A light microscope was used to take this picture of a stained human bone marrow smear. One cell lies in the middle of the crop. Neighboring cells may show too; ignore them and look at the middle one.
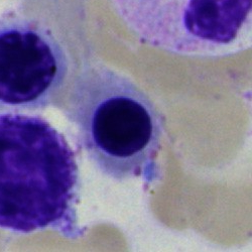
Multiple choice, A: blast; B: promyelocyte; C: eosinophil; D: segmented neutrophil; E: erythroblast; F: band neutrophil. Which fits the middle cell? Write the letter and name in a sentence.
Option E is the correct selection, for the cell at the centre is an erythroblast.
